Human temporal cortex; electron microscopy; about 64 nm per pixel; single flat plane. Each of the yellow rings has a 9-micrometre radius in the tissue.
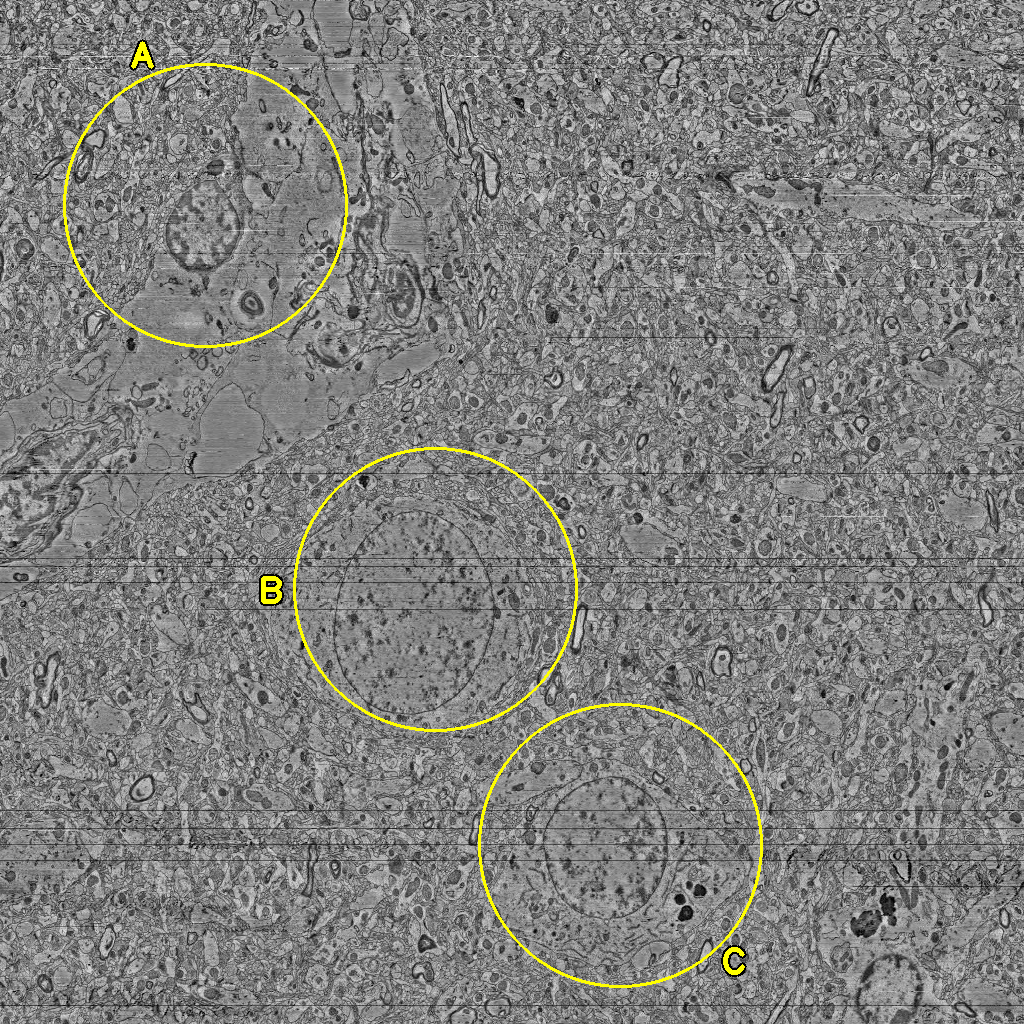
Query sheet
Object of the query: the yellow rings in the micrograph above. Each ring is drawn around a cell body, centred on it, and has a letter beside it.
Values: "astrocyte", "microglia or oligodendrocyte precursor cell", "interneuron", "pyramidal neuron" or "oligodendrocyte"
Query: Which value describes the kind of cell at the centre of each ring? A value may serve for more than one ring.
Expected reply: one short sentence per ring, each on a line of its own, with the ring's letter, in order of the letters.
I assign an oligodendrocyte to ring A.
I assign a pyramidal neuron to ring B.
I assign a pyramidal neuron to ring C.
